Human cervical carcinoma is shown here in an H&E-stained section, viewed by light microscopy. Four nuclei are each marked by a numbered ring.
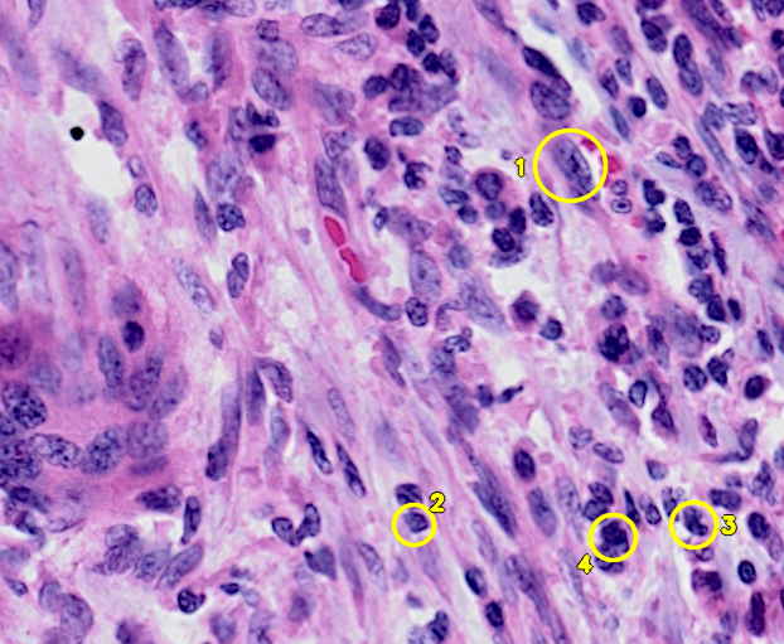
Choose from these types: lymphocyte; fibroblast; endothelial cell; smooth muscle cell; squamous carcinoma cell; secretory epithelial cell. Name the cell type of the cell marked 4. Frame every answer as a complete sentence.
The cell identified by the number 4 is a lymphocyte.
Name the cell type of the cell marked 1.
Numbered cell 1 is an endothelial cell in this tissue section.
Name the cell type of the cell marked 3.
Denoted by the label 3 in the section is a lymphocyte.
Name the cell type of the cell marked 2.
In this section, the cell tagged 2 is a lymphocyte.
